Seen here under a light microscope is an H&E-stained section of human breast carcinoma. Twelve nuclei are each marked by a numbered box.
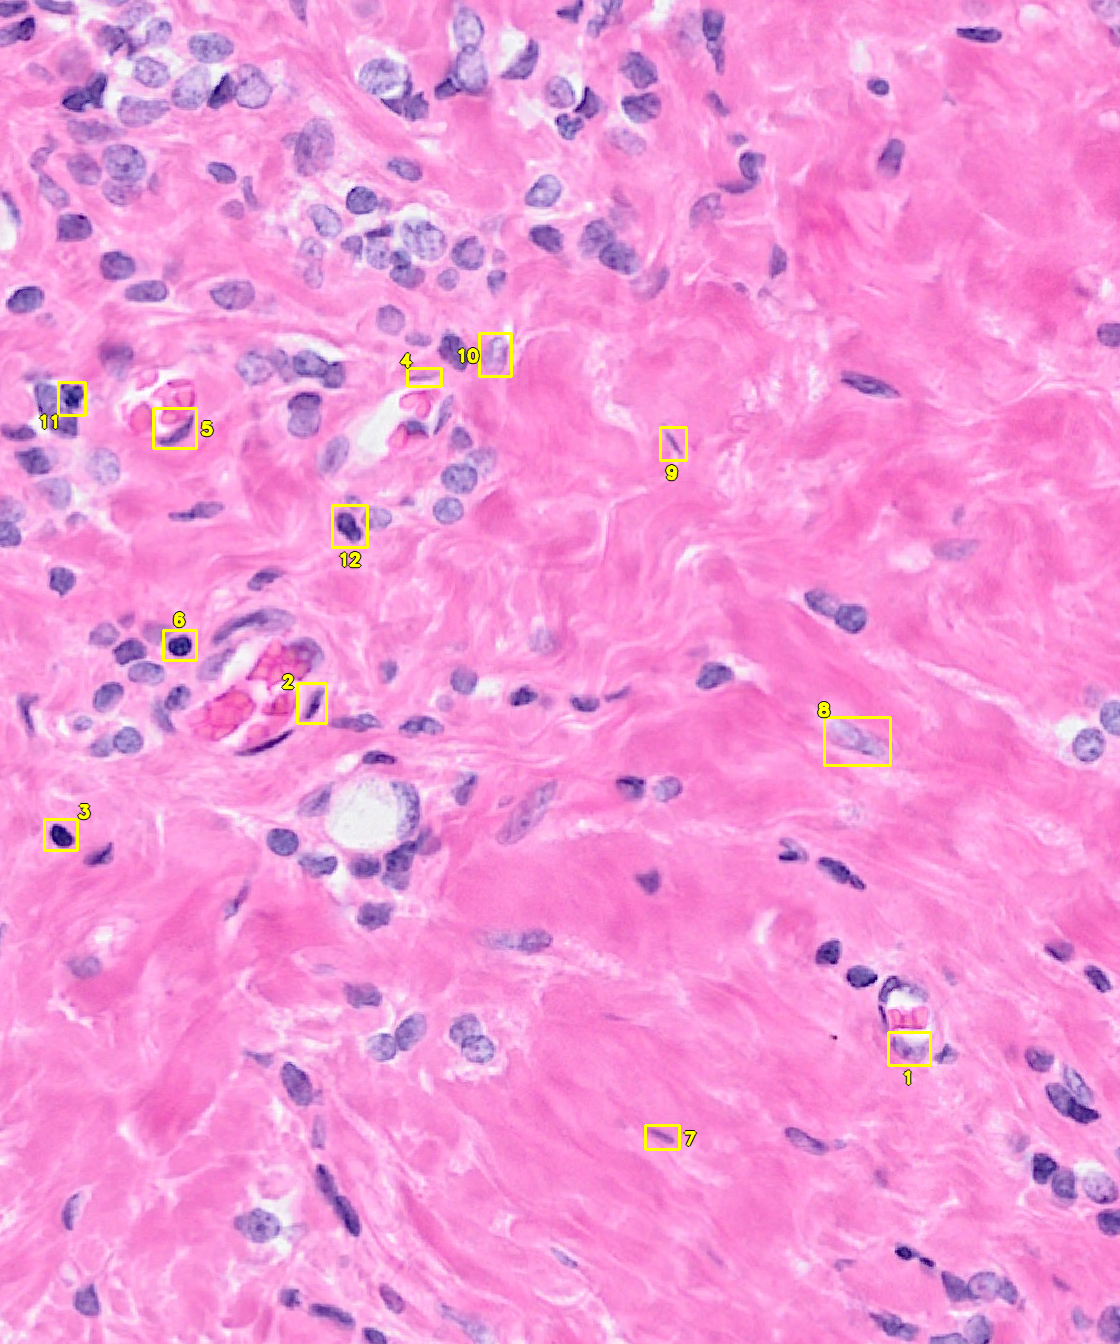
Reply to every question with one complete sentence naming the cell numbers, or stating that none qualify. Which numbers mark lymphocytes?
The cells assigned the numbers 3, 6, 11 and 12 are lymphocytes.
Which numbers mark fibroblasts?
The cells the numbers 7, 8, 9 and 10 point to are fibroblasts.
